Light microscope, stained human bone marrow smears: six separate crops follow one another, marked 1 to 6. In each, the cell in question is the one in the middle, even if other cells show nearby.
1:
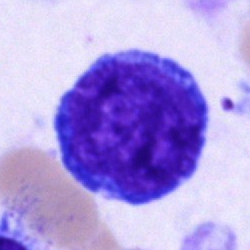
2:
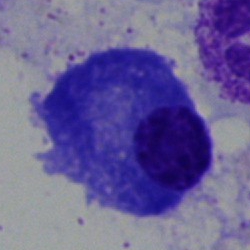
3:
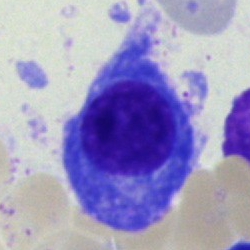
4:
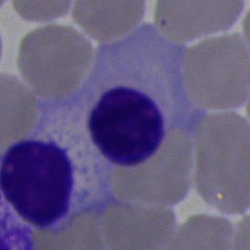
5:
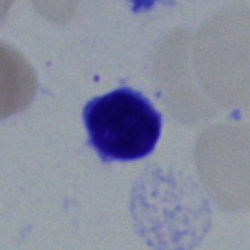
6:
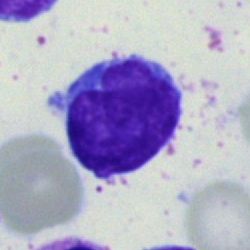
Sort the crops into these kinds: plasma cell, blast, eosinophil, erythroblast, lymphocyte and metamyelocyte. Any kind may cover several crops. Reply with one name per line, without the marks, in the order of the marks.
blast
plasma cell
plasma cell
erythroblast
lymphocyte
lymphocyte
